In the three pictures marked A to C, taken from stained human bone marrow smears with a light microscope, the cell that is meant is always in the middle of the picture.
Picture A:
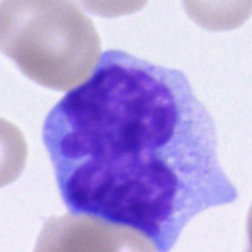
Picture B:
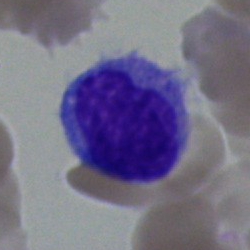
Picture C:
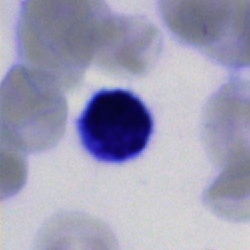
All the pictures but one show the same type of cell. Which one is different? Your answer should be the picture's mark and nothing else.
C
